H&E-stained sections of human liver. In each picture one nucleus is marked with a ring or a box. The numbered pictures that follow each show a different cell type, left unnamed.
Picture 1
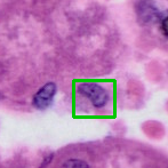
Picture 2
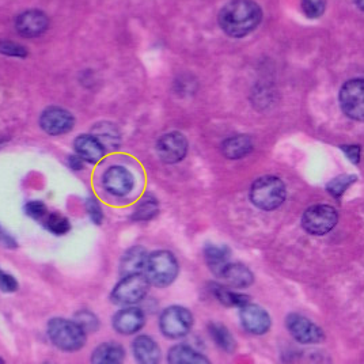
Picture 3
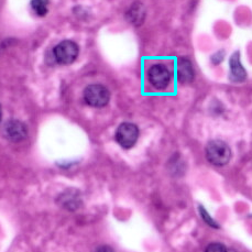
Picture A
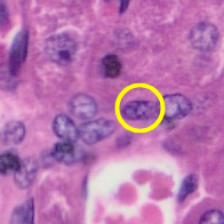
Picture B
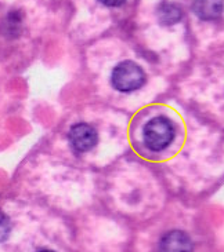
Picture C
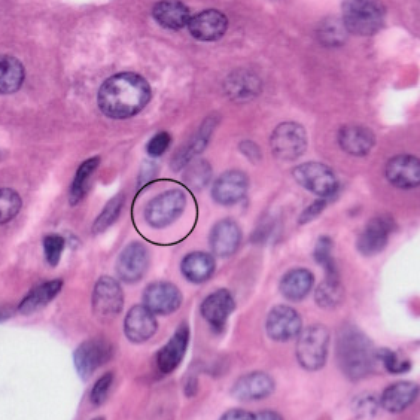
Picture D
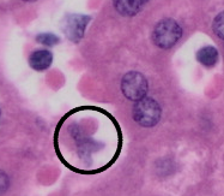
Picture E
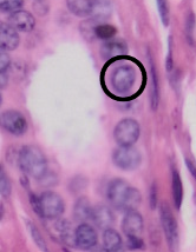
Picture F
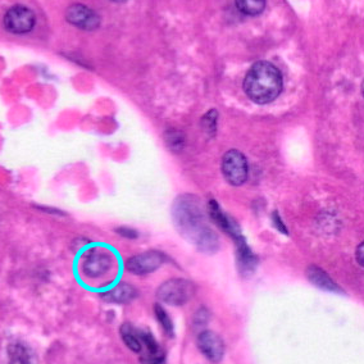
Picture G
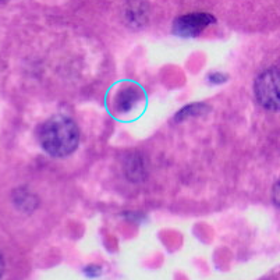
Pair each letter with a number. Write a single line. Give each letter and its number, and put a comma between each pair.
A 2, B 3, C 2, D 1, E 2, F 2, G 1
